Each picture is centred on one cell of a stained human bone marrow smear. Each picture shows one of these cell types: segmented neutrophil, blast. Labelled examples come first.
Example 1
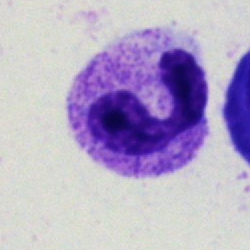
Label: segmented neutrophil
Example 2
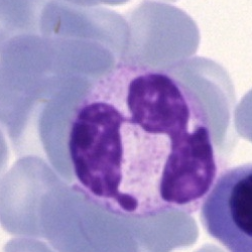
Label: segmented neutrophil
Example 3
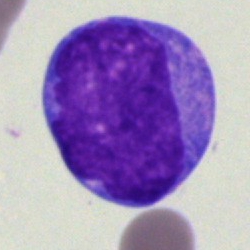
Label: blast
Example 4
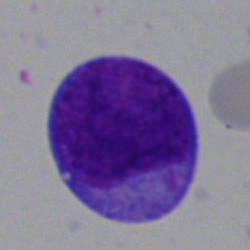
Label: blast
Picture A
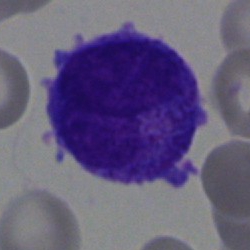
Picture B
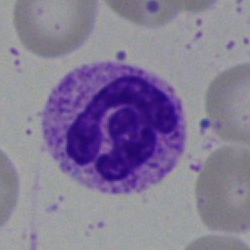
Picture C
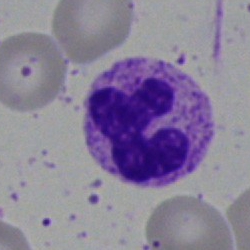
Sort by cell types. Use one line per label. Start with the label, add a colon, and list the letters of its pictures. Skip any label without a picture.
segmented neutrophil: B, C
blast: A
